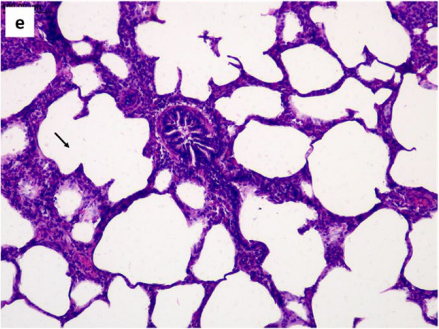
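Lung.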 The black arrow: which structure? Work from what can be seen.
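Many thin-walled, empty, polygonal air spaces. A small airway with folded lining lies in the centre.
Hence: alveoli.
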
